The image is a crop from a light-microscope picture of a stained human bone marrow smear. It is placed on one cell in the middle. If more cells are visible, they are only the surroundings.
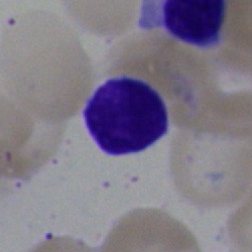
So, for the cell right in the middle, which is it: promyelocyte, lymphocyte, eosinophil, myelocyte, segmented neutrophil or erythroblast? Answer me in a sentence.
Framed in the middle of the crop is a lymphocyte.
